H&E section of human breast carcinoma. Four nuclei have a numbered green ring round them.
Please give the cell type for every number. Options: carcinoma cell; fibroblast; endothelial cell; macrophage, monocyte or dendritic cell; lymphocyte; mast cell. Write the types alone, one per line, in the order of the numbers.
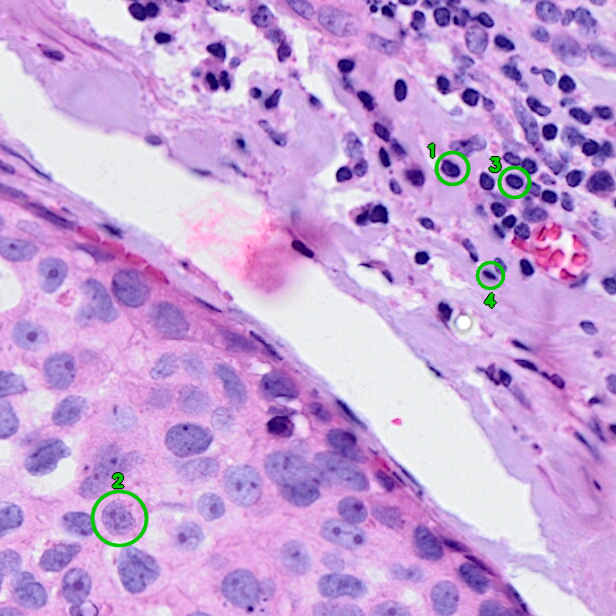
lymphocyte
carcinoma cell
lymphocyte
lymphocyte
